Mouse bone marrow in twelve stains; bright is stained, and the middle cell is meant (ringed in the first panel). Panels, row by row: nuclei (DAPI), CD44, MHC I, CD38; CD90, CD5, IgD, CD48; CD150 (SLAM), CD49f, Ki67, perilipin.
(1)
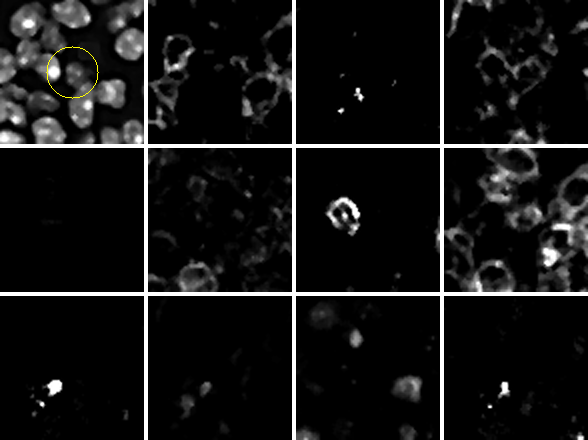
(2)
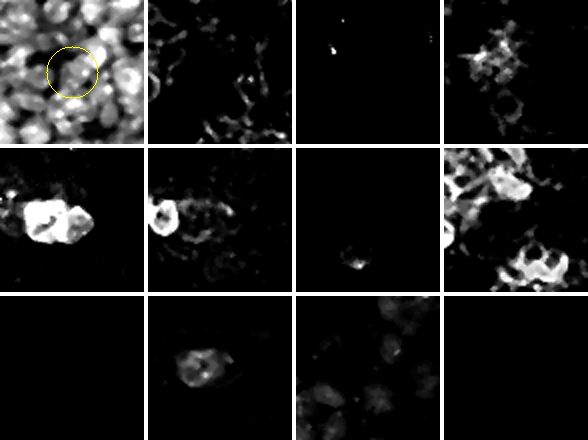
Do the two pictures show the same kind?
Yes, both are capillary endothelial cells.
